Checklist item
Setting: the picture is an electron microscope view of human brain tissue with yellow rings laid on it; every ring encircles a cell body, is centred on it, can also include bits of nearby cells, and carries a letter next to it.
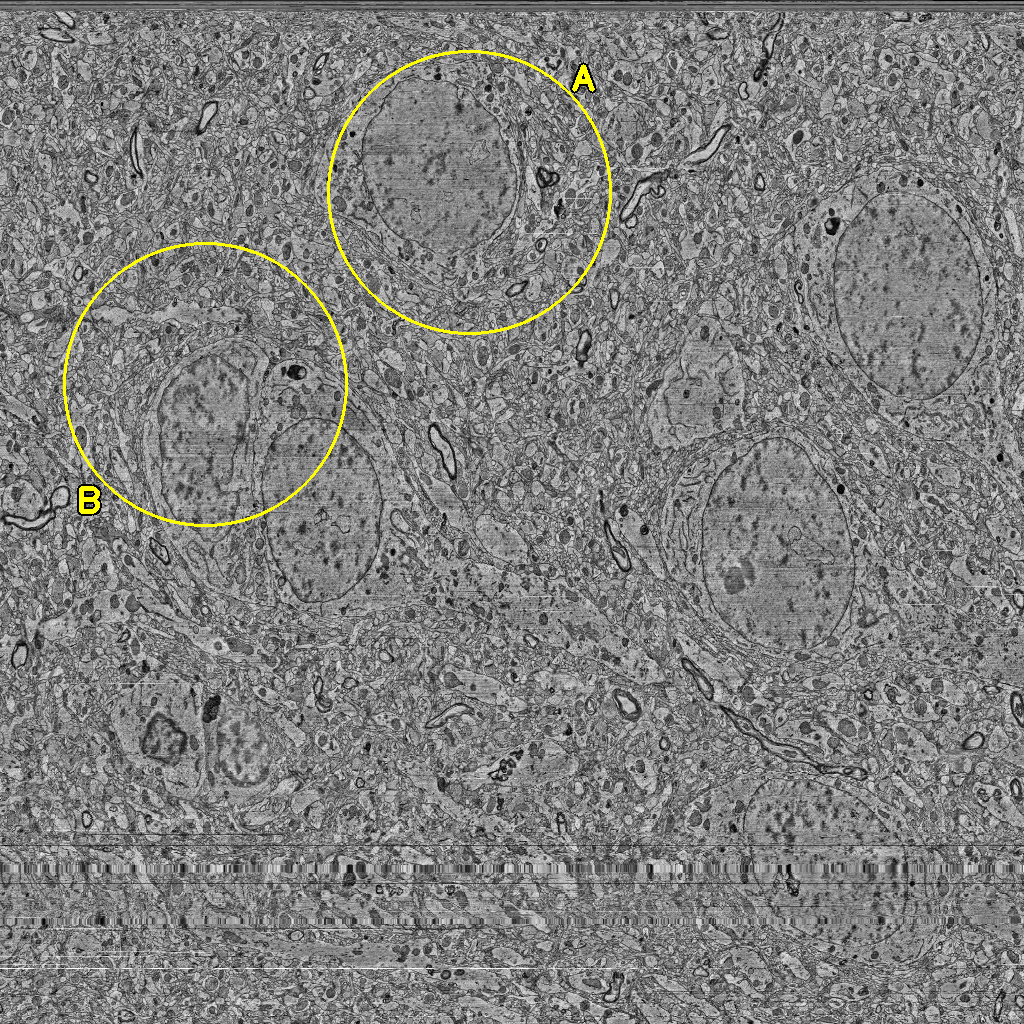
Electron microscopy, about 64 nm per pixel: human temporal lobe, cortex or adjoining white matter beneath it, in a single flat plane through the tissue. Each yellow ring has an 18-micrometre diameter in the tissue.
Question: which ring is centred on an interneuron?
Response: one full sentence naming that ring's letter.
My response is that ring B has the sought cell at its centre.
